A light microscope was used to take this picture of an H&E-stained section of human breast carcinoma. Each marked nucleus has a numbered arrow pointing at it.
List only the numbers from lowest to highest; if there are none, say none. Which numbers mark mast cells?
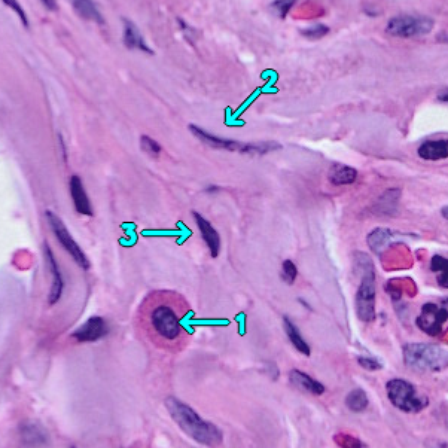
1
